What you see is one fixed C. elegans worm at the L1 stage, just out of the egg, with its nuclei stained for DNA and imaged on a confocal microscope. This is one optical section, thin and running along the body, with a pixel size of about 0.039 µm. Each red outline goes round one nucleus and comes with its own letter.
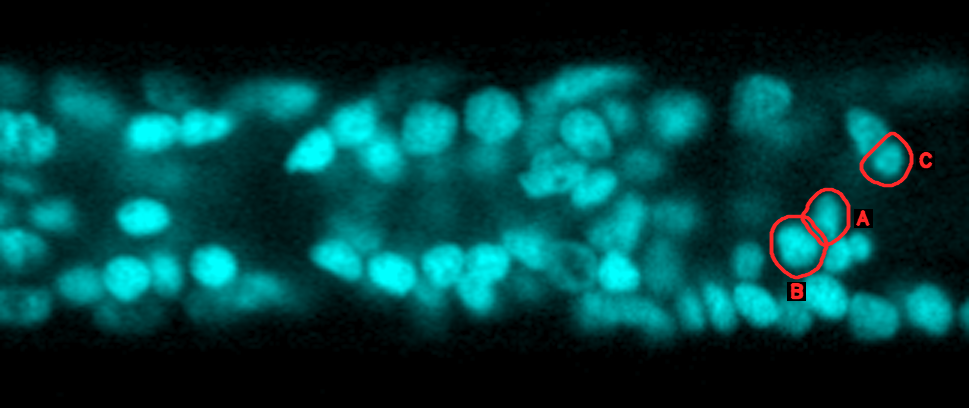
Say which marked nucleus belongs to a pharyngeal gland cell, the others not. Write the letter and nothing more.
B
